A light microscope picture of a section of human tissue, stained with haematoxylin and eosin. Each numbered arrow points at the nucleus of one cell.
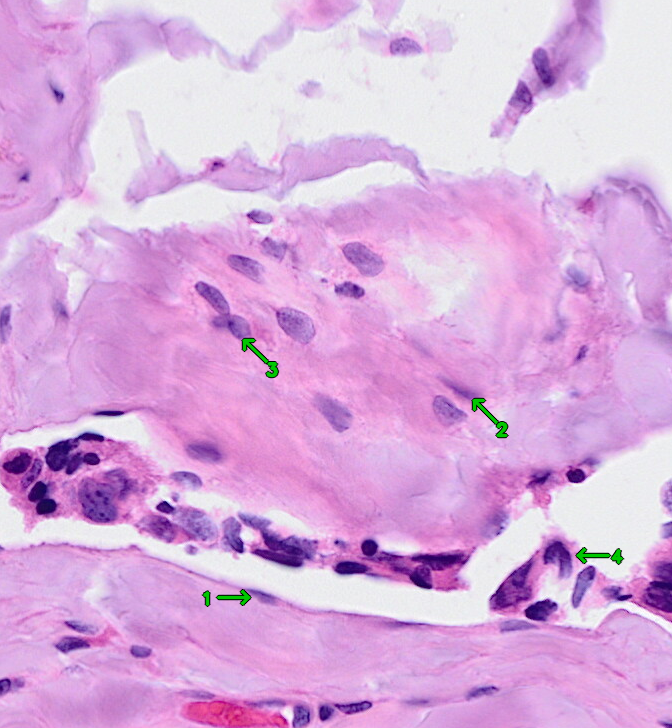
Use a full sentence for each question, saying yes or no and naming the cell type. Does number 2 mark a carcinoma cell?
No, cell 2 is not a carcinoma cell; a fibroblast is the correct identification.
